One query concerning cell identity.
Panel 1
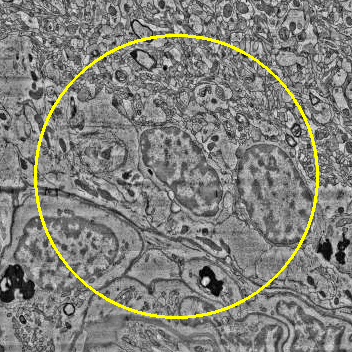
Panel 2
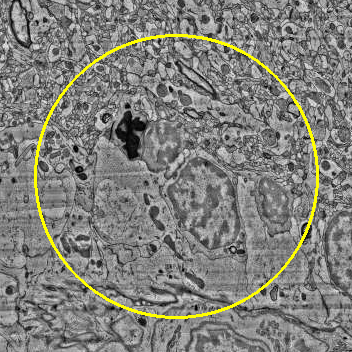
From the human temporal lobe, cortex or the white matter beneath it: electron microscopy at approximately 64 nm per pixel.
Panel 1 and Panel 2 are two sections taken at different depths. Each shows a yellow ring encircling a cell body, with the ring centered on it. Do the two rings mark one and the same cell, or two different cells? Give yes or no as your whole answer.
yes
